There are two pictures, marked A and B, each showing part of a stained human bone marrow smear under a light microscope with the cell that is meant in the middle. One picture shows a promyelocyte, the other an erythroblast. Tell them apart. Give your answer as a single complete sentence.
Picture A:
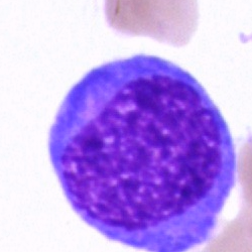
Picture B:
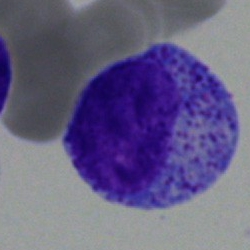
In picture A the cell is an erythroblast; in picture B, a promyelocyte.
